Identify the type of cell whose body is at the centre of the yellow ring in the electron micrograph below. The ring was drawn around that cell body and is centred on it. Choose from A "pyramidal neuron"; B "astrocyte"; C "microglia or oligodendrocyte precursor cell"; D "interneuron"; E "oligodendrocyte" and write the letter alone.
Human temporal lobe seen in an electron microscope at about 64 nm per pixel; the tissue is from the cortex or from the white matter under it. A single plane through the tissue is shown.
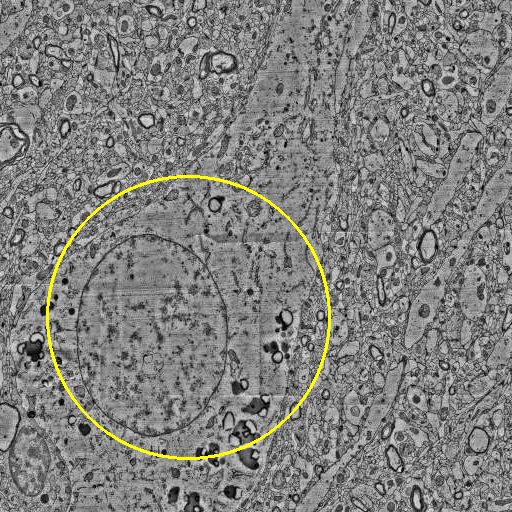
A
